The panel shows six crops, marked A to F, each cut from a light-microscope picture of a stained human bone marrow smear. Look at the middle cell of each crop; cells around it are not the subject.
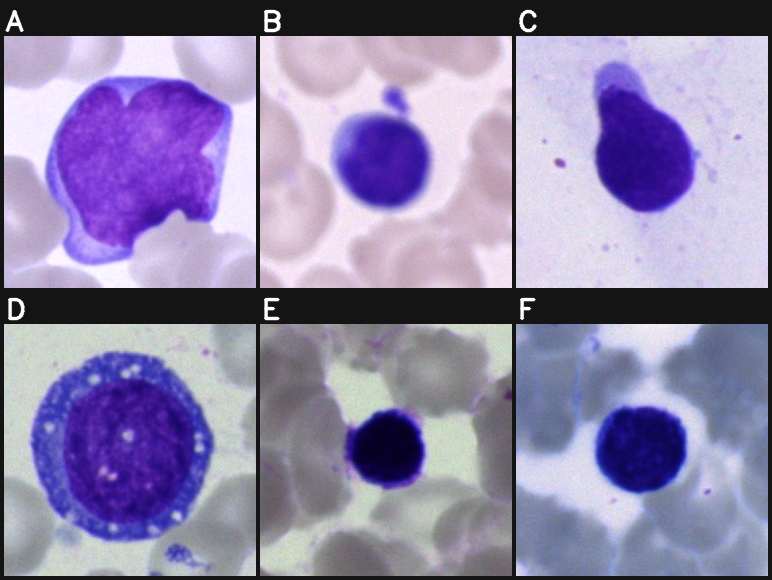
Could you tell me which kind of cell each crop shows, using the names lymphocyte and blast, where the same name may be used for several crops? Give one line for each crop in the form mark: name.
A: blast
B: lymphocyte
C: lymphocyte
D: blast
E: lymphocyte
F: lymphocyte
